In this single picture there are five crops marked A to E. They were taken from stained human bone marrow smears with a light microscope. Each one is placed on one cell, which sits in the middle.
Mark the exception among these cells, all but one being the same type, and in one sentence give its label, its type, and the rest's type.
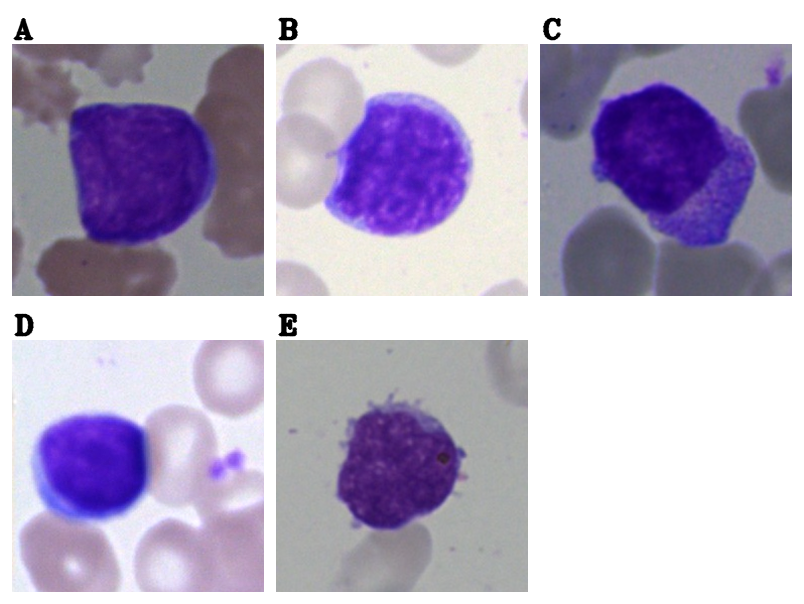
Crop D is a lymphocyte, while the rest of the set consists of blasts.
